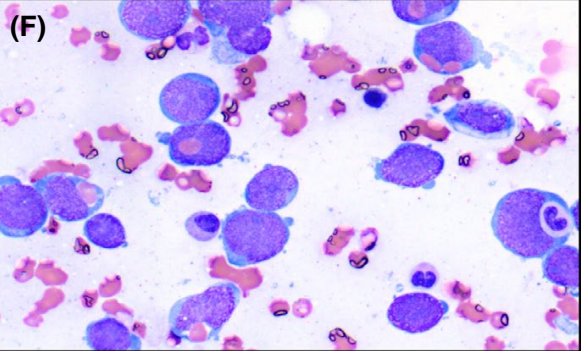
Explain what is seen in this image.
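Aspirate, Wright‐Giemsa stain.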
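This smear of bone marrow shows many large blasts scattered among red blood cells. The blasts are round, many times the size of the red cells, with round nuclei of fine purple chromatin that fill most of the cell. Their cytoplasm forms a narrow rim of deep blue, in places with small bulges at the edge. One large cell at the lower right holds a whole smaller cell within its cytoplasm, inside a clear space, an example of emperipolesis. Red blood cells lie loosely between them, and a few small dark-nucleated cells are also present.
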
